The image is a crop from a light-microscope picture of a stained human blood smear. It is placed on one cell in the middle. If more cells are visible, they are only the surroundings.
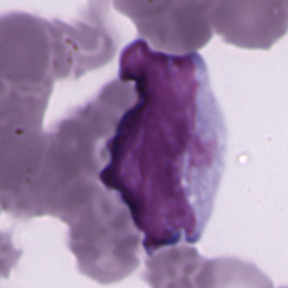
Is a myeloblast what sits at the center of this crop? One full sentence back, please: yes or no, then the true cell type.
Yes, the middle cell is classified as a myeloblast.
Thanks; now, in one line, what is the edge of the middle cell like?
The periphery of this cell is uneven, with ragged portions or projections.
